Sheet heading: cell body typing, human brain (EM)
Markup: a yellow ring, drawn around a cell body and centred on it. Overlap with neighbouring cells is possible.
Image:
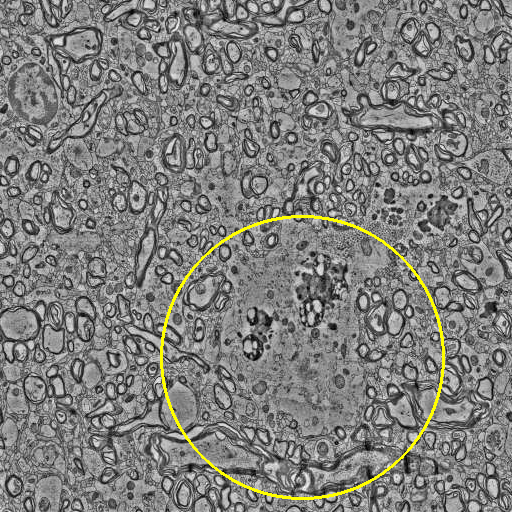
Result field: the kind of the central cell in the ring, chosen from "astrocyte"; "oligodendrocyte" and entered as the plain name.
astrocyte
